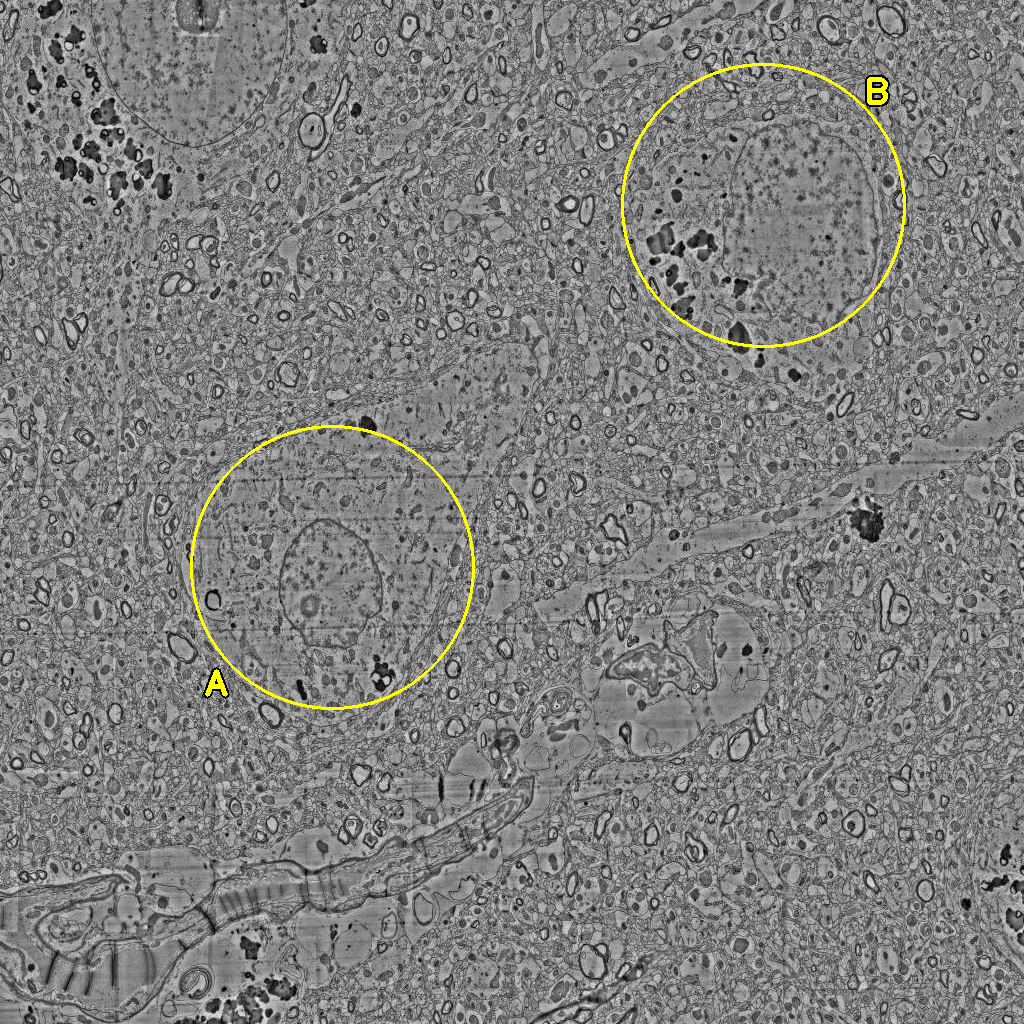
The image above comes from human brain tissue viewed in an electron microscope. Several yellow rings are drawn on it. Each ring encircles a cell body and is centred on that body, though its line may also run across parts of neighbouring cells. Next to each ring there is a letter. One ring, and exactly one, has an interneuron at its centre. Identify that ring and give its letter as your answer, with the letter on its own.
B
